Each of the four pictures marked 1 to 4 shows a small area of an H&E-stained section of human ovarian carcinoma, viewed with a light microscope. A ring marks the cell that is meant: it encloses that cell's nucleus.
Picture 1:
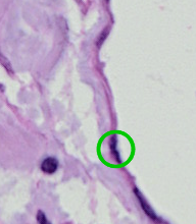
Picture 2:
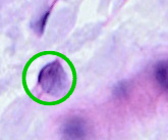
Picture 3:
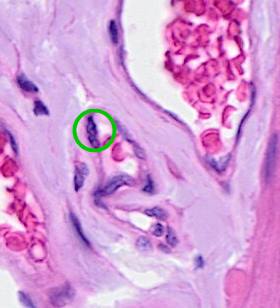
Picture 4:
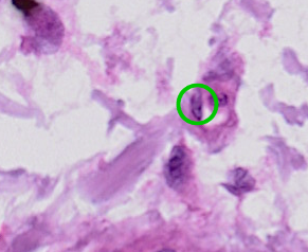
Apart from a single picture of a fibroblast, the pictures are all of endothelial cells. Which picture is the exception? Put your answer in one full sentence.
The cell in picture 2 is the fibroblast.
